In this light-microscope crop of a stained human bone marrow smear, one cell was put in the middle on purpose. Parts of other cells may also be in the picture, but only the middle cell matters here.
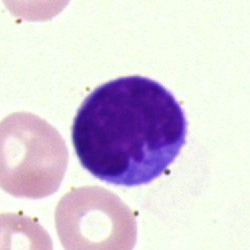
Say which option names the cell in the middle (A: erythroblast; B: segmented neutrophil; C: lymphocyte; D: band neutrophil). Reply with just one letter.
C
